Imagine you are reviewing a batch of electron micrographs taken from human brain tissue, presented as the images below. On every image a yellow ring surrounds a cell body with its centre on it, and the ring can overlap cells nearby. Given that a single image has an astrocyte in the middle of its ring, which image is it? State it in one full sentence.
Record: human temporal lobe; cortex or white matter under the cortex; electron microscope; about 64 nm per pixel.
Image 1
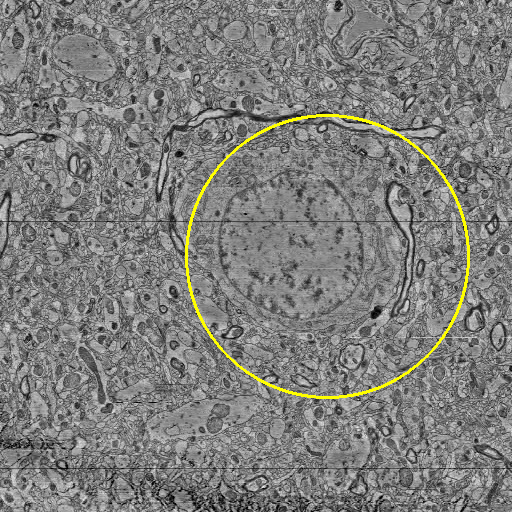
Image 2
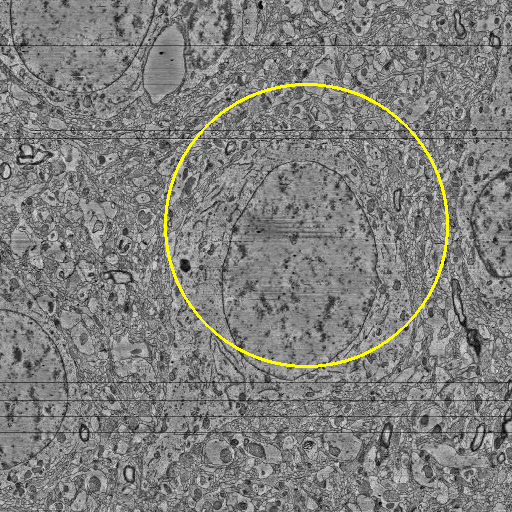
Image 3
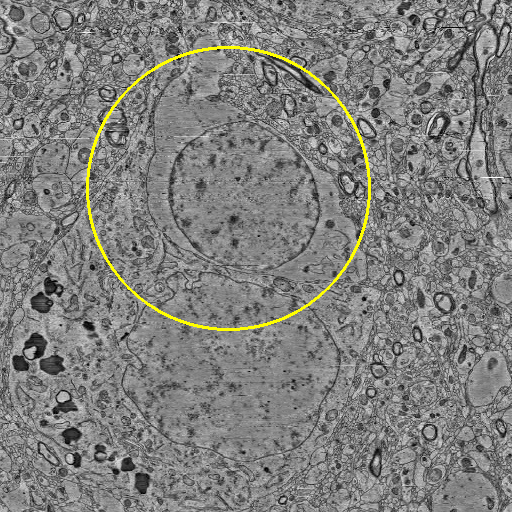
Of all the images, number 3 has the described cell at the centre of its ring.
